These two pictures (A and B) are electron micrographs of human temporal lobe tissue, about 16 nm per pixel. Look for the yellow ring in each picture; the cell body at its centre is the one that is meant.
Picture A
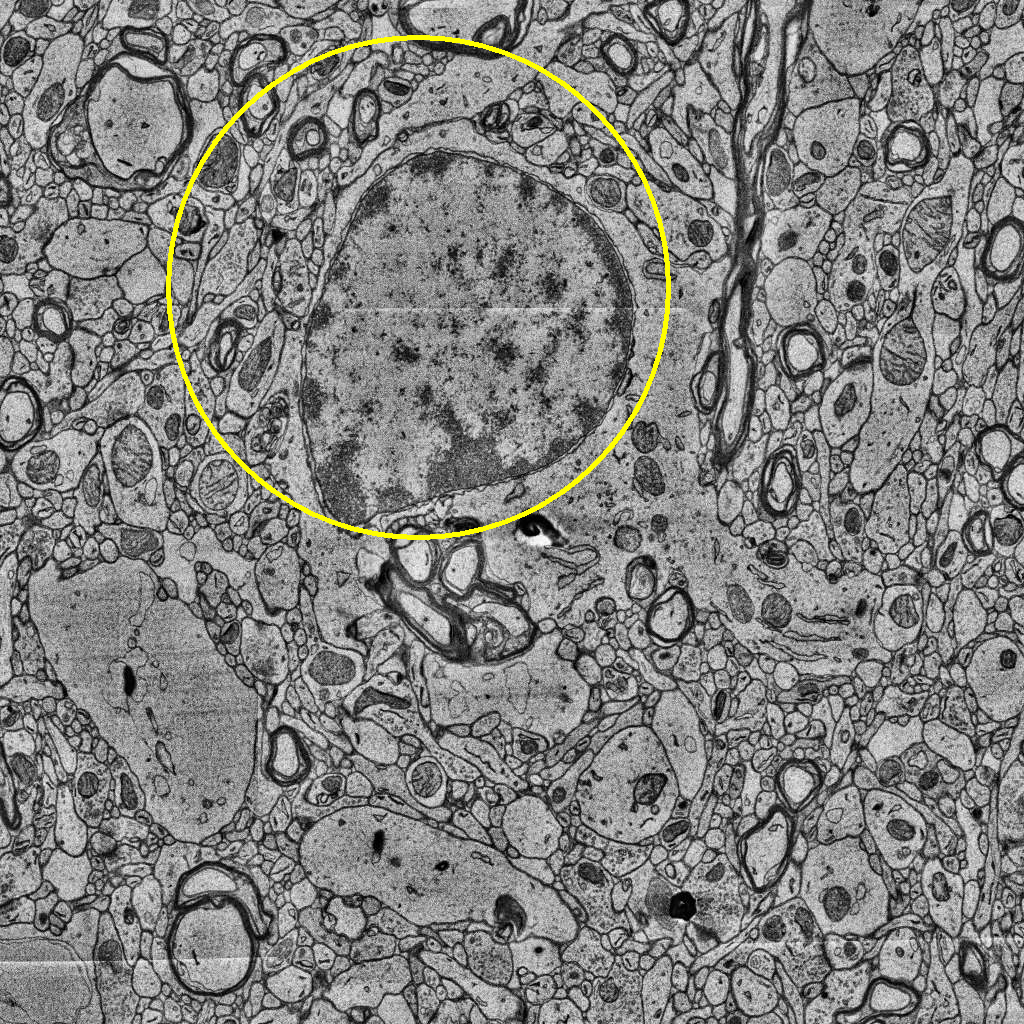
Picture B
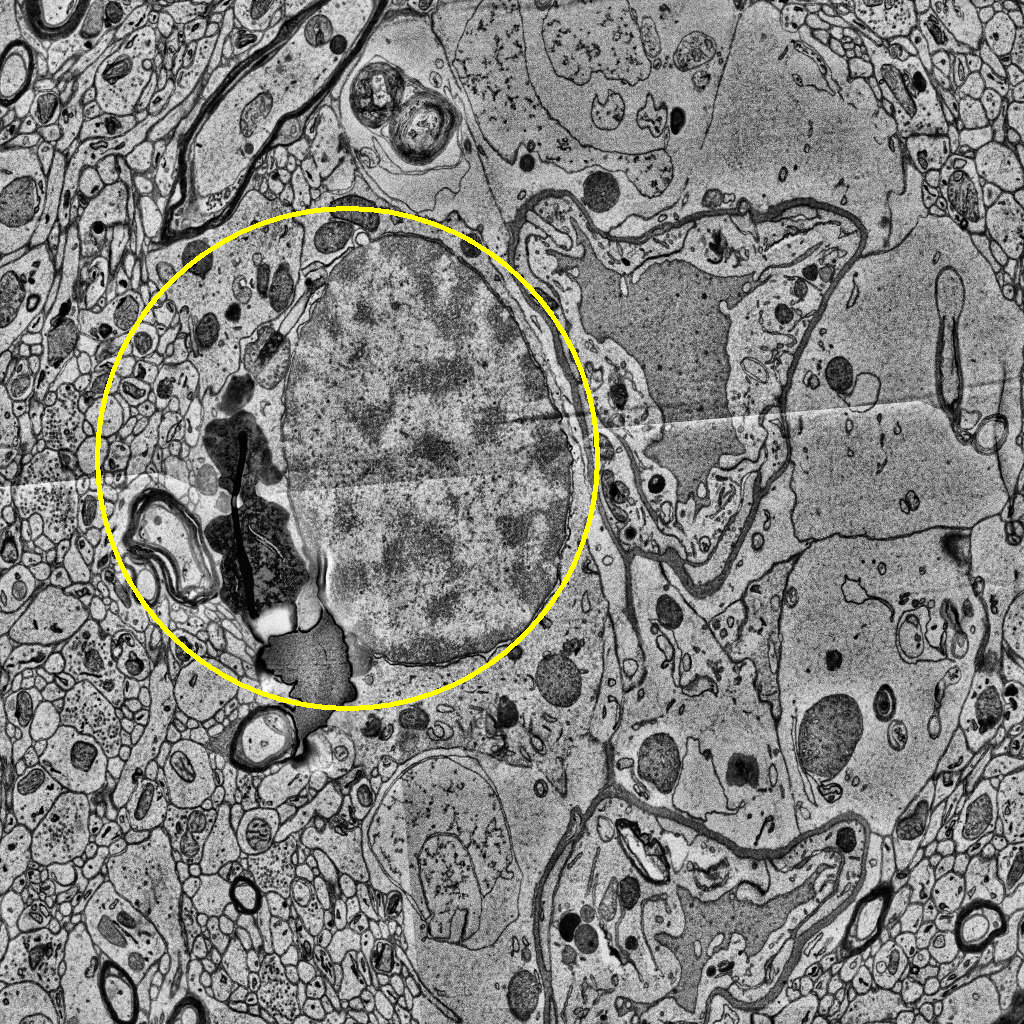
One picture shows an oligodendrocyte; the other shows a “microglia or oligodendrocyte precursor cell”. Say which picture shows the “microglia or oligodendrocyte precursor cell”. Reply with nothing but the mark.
A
